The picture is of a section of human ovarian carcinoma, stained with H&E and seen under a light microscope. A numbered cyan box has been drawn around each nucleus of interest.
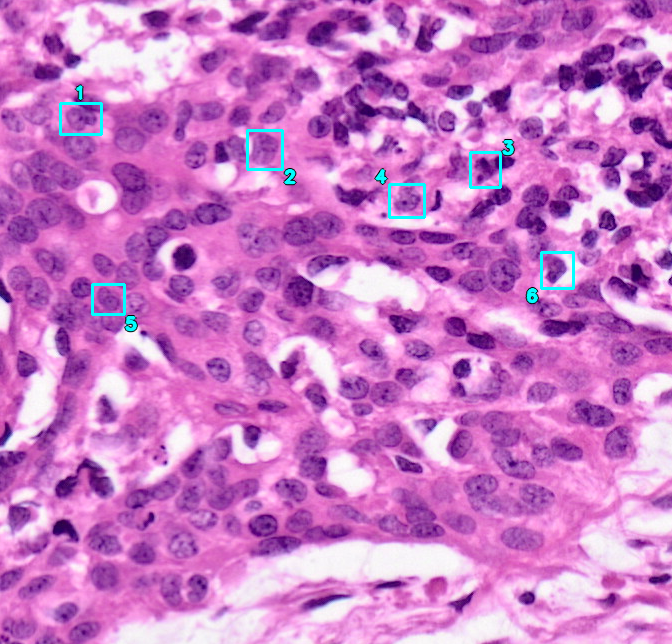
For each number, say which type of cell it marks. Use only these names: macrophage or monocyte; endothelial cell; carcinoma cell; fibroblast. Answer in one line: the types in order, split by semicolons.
macrophage or monocyte; carcinoma cell; carcinoma cell; macrophage or monocyte; carcinoma cell; carcinoma cell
